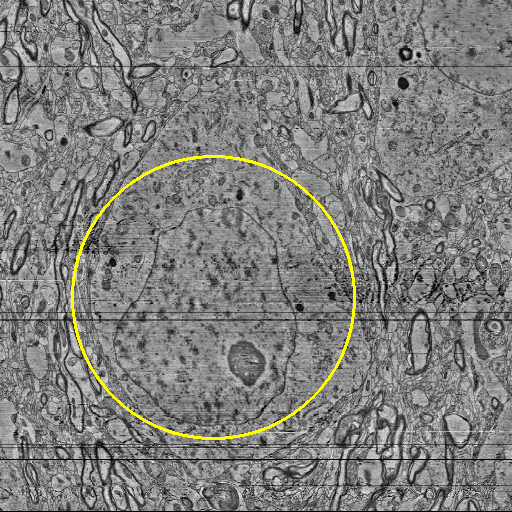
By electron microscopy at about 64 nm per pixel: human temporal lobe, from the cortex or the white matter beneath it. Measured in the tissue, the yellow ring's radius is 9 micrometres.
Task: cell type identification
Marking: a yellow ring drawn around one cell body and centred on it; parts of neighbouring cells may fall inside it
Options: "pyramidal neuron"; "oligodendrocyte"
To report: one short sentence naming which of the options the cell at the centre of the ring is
The cell at the centre of the ring is a pyramidal neuron.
